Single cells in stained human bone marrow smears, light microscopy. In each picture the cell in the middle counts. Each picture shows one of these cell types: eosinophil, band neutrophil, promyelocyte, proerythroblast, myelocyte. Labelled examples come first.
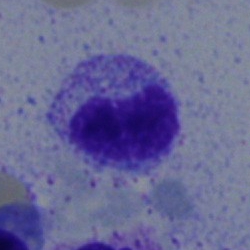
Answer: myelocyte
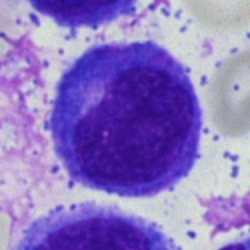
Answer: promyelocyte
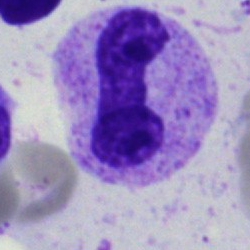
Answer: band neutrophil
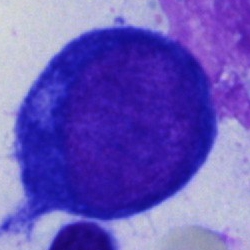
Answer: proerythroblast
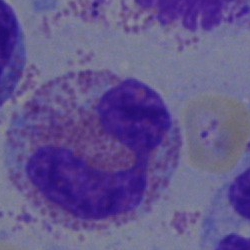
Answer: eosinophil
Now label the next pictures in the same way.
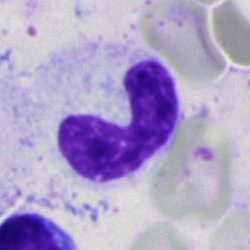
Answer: band neutrophil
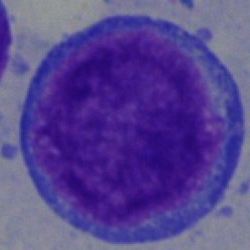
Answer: proerythroblast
